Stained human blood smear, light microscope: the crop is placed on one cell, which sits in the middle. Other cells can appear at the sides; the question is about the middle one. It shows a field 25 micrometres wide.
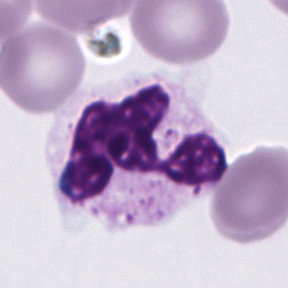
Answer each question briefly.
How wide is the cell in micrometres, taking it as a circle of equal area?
14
